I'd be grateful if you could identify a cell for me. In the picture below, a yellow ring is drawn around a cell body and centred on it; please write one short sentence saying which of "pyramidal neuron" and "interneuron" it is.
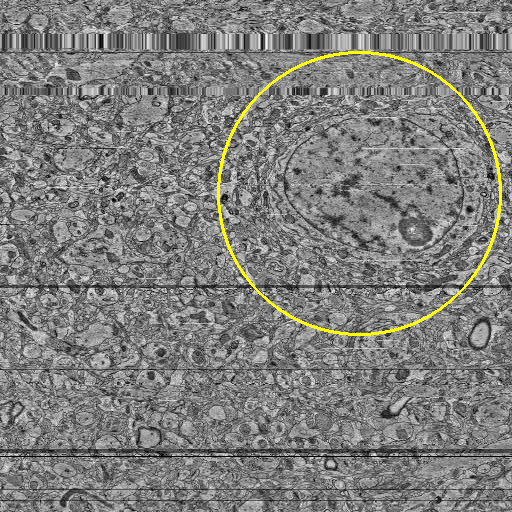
The cell under the ring's centre is a pyramidal neuron.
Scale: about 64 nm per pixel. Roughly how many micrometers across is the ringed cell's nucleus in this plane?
The ringed cell's nucleus is about 12 micrometres long and 9 micrometres wide in this plane.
